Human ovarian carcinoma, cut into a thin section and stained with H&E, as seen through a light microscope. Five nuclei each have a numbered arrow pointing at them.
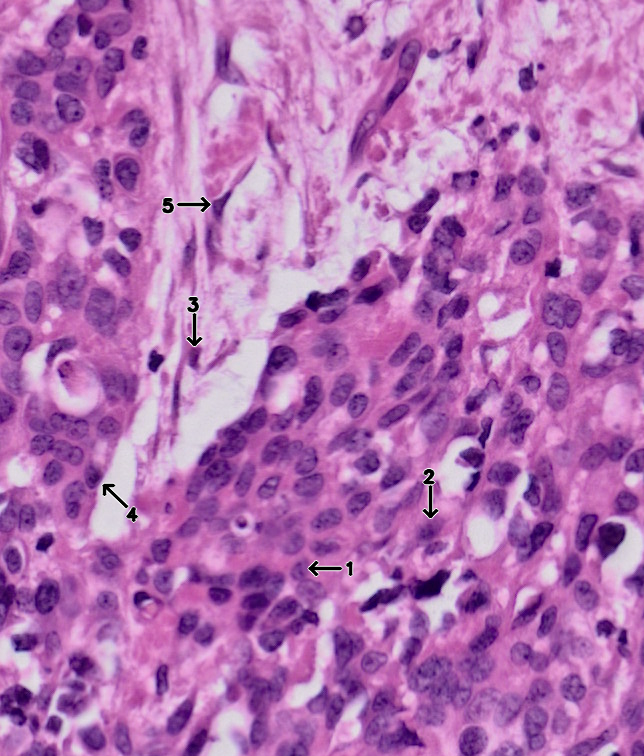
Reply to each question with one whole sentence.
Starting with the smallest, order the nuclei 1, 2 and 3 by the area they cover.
By area, going up from the smallest, they rank 3, 1, 2.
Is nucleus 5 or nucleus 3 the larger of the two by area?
Number 5 is larger; its area is about 2 times that of number 3.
